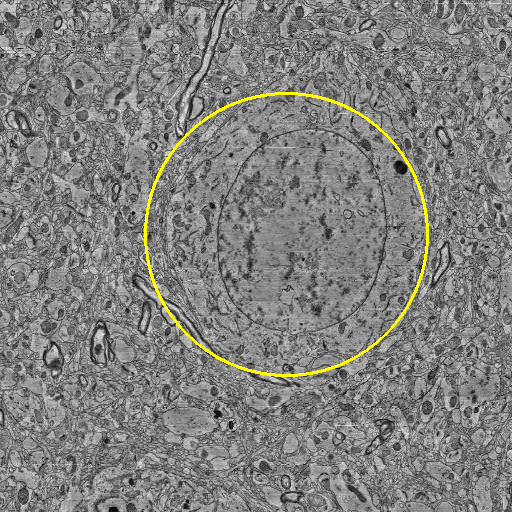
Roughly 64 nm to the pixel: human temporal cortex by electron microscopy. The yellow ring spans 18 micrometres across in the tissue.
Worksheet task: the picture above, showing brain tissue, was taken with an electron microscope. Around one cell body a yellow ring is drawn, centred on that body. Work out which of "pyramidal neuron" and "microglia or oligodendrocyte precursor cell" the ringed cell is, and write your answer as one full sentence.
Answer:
It is a pyramidal neuron whose cell body lies at the centre of the yellow ring.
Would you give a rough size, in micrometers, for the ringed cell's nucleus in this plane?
About 14 micrometres by about 11 micrometres in this plane.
